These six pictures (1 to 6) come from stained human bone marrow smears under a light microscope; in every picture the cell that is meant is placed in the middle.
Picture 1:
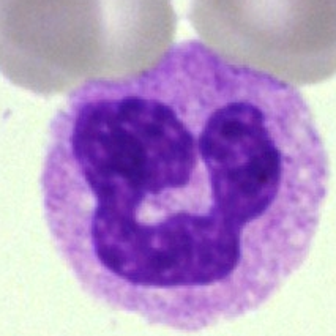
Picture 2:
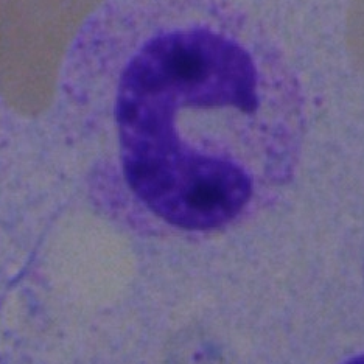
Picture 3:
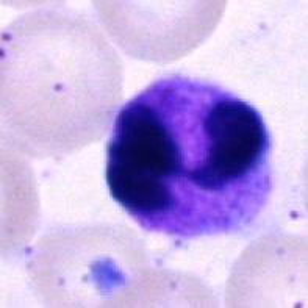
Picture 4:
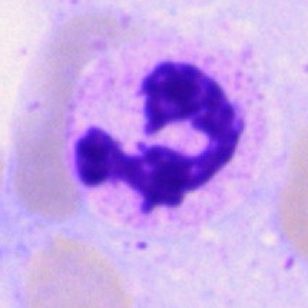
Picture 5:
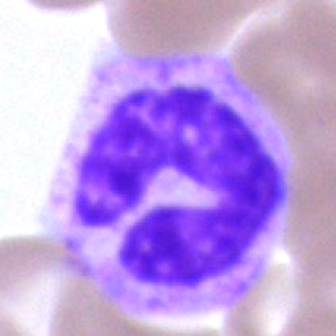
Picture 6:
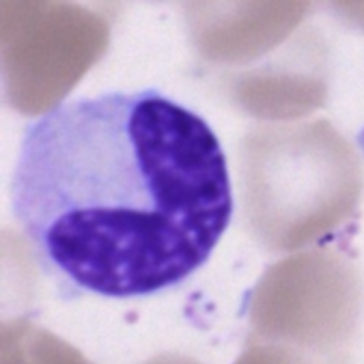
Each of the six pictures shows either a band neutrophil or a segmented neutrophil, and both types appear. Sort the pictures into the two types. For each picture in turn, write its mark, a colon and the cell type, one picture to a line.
1: segmented neutrophil
2: band neutrophil
3: segmented neutrophil
4: segmented neutrophil
5: band neutrophil
6: band neutrophil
